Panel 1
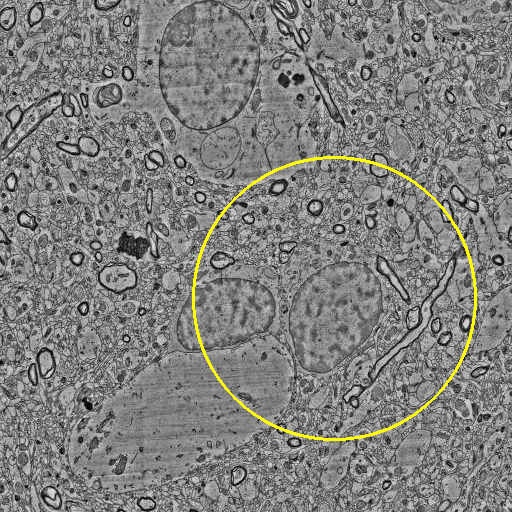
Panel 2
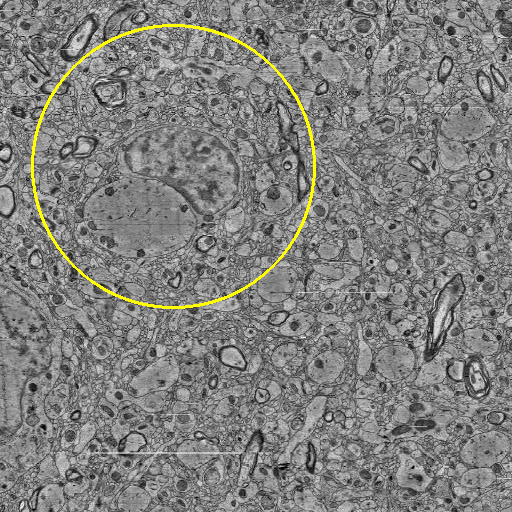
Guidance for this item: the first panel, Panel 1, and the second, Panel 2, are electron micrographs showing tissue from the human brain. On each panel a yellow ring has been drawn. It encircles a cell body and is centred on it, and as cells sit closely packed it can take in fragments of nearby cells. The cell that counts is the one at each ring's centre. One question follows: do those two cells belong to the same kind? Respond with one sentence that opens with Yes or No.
Yes, the cells at the ring centres in Panel 1 and Panel 2 are of one kind.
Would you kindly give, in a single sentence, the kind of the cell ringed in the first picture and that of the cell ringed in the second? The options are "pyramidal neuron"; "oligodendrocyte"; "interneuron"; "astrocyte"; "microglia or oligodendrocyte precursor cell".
Both cells are the same kind, each one being an oligodendrocyte.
